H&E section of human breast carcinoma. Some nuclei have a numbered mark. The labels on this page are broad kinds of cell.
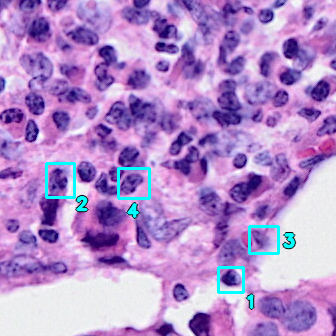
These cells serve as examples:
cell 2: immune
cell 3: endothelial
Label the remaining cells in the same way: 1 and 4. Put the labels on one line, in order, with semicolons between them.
immune; immune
